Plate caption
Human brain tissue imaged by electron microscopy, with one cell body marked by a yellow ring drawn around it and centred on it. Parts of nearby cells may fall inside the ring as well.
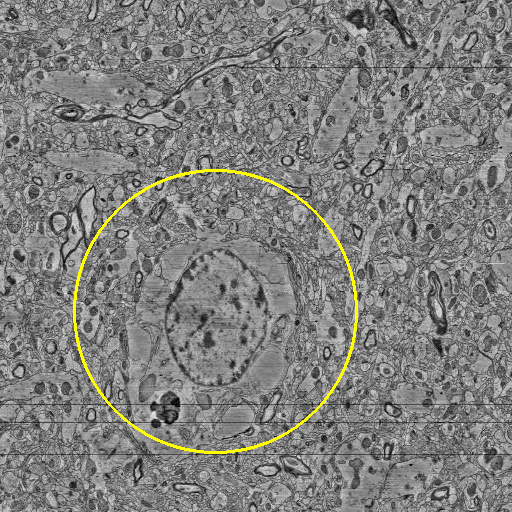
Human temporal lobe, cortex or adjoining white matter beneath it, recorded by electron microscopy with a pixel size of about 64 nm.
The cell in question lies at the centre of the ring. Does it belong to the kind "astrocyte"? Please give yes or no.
Yes, it belongs to that kind.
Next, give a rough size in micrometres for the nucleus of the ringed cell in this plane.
Approximately 9 by 7 micrometers in this plane.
